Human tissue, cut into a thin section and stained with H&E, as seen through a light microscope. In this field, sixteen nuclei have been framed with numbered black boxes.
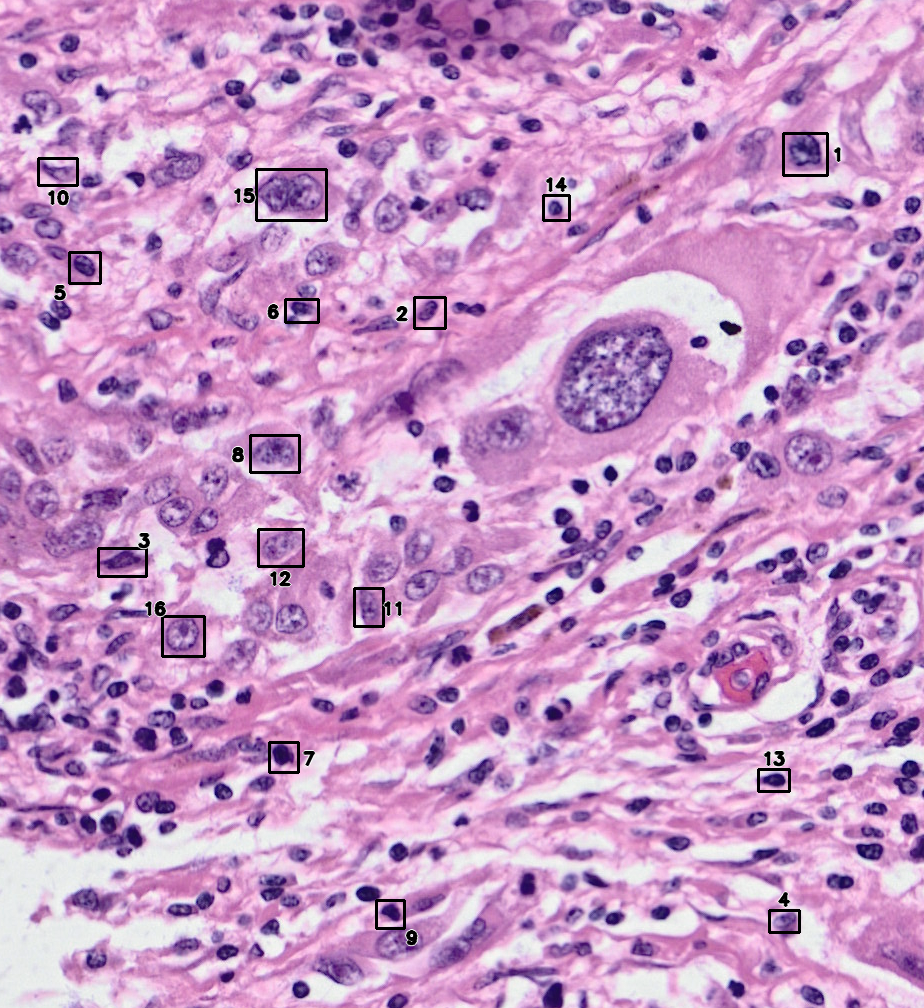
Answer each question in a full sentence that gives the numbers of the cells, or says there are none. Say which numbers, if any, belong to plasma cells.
The cells with labels 5 and 13 are plasma cells.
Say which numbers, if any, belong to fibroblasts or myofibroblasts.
Cell 10 is a fibroblast or myofibroblast, and this holds for no other numbered cell.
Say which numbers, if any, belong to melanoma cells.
The numbers 1, 3, 8, 11, 12, 15 and 16 mark cells that are melanoma cells.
